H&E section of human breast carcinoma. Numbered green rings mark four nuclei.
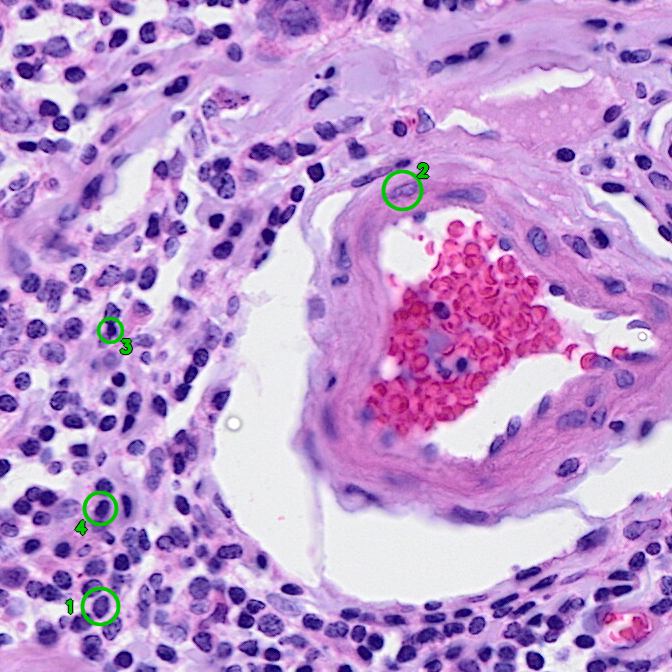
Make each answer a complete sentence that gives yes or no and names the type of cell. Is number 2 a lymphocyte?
No, the right label for cell 2 is an endothelial cell rather than a lymphocyte.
